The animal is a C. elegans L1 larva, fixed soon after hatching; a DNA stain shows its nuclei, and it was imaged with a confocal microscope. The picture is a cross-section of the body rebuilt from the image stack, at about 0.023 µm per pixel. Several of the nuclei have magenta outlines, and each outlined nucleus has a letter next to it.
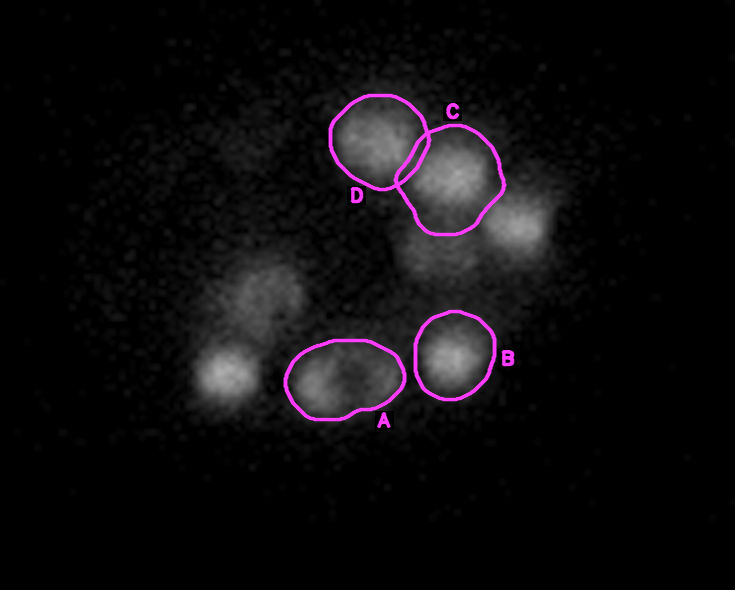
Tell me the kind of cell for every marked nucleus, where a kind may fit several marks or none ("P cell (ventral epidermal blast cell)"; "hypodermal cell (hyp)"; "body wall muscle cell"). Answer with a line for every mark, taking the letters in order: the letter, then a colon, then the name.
A: hypodermal cell (hyp)
B: P cell (ventral epidermal blast cell)
C: body wall muscle cell
D: P cell (ventral epidermal blast cell)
